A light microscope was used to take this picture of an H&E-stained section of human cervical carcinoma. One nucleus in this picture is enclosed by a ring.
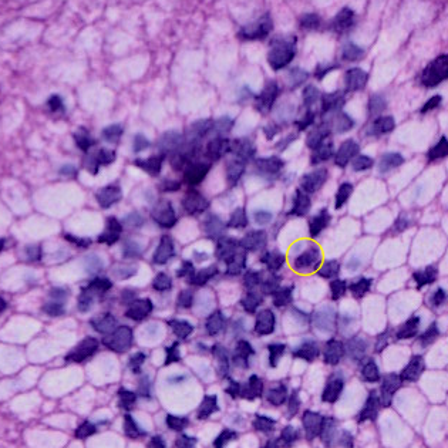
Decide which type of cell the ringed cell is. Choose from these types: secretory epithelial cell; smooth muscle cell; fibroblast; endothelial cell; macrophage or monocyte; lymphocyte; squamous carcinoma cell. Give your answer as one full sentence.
What the ringed cell represents is a secretory epithelial cell.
